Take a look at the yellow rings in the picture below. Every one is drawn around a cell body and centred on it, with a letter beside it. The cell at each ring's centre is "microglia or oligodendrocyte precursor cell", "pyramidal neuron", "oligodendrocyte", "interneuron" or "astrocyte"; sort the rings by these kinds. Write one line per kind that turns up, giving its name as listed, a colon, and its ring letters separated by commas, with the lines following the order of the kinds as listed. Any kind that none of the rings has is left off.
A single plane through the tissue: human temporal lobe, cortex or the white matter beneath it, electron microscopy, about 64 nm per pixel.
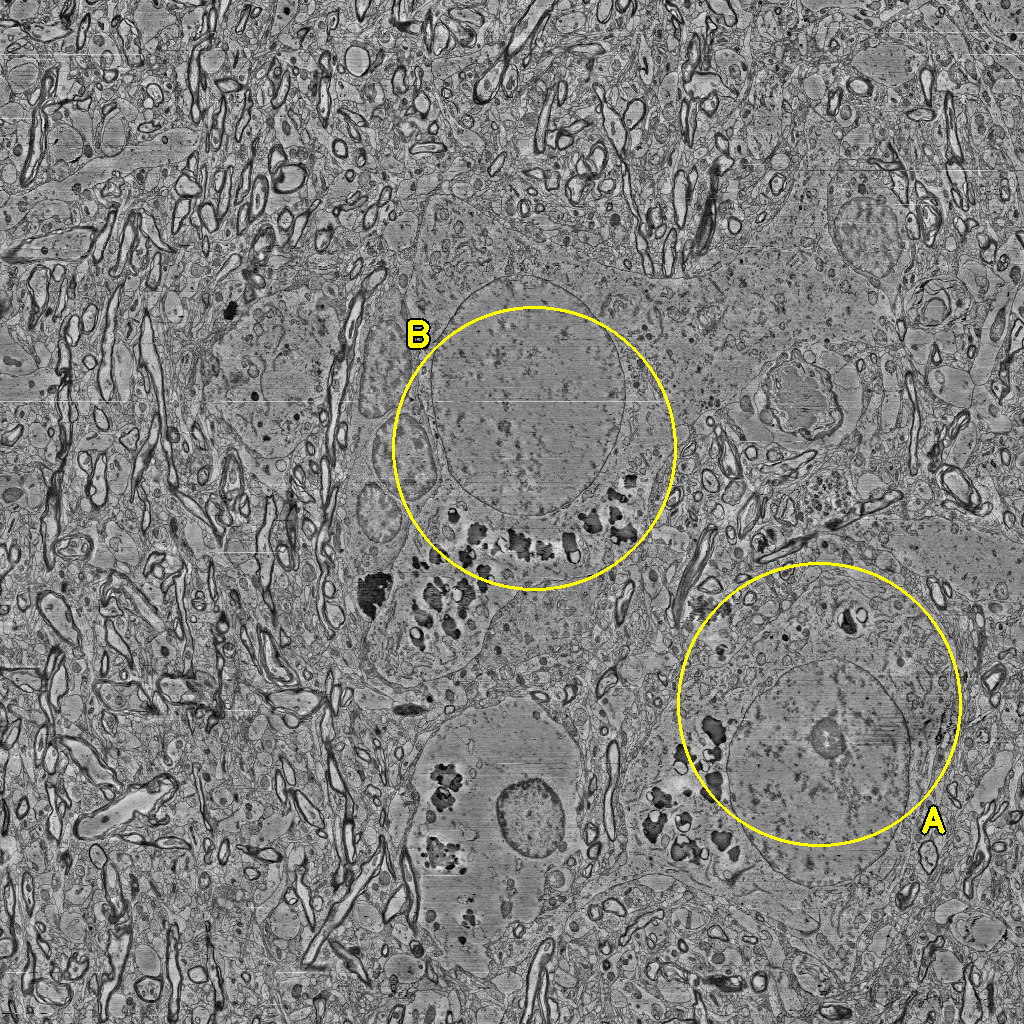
pyramidal neuron: A, B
